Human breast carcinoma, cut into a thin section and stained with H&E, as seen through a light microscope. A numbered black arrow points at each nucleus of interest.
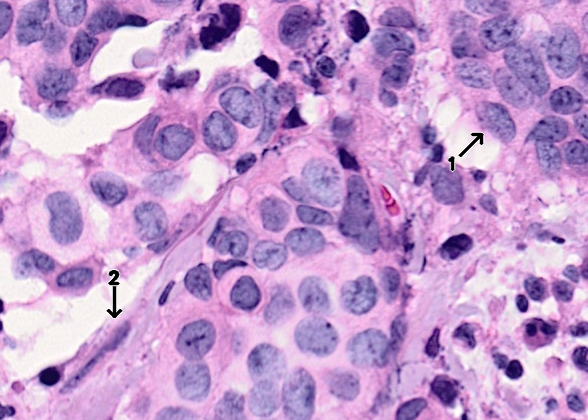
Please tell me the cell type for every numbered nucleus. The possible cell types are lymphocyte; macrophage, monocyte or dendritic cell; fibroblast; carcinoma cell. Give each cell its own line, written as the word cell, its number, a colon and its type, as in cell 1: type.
cell 1: carcinoma cell
cell 2: fibroblast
